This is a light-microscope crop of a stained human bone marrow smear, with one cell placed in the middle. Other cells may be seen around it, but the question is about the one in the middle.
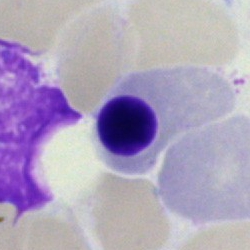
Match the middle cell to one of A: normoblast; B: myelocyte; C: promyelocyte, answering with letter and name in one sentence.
In this crop the central cell is a normoblast, which option A correctly states.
